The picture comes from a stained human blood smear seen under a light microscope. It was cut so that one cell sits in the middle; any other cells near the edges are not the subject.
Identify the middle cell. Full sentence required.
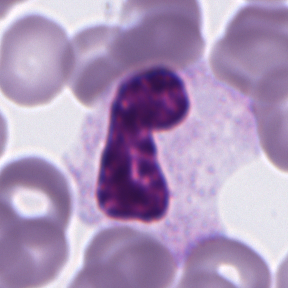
In the crop, the cell of interest at the centre is a band neutrophil.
